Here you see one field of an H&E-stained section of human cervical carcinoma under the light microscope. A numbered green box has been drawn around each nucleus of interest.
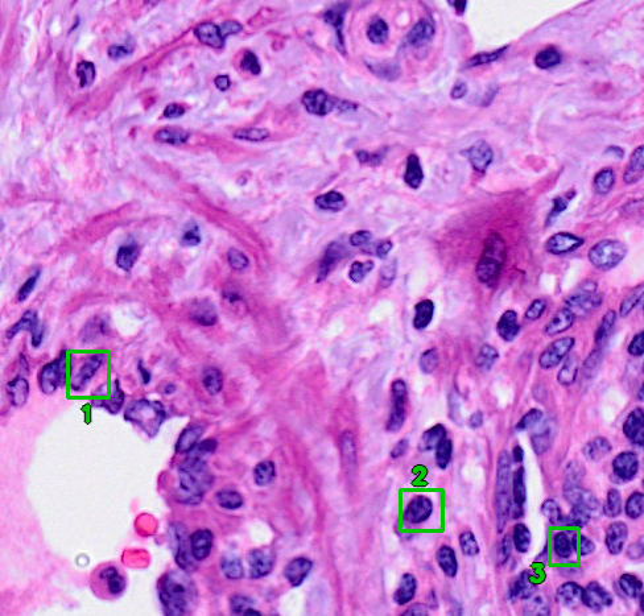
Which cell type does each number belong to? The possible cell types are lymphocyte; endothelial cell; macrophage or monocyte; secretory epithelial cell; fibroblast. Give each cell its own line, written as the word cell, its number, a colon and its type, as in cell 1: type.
cell 1: endothelial cell
cell 2: lymphocyte
cell 3: lymphocyte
